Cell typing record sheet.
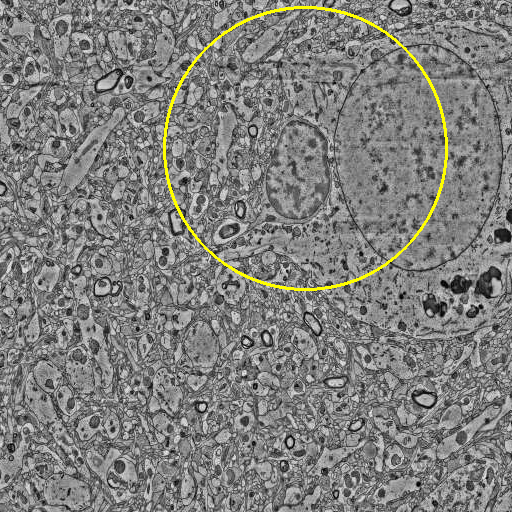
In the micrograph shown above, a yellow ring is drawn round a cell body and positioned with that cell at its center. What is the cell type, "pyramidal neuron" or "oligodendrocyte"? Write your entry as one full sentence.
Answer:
The cell body at the center of the ring belongs to an oligodendrocyte.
